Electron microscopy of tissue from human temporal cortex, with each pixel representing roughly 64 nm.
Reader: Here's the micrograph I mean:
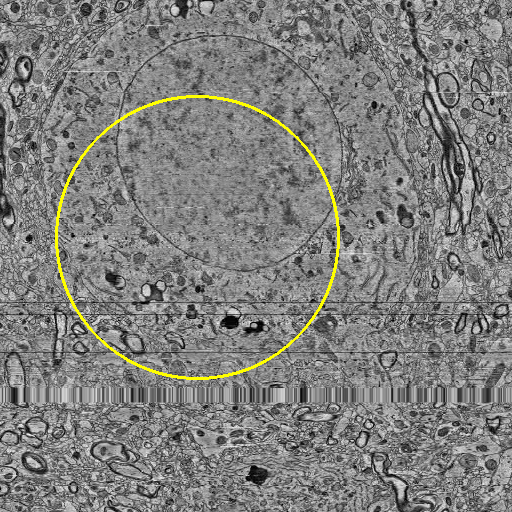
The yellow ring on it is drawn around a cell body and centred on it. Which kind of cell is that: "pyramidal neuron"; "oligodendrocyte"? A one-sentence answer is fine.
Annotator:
The ring is centred on a pyramidal neuron.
